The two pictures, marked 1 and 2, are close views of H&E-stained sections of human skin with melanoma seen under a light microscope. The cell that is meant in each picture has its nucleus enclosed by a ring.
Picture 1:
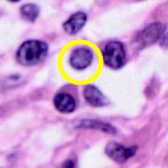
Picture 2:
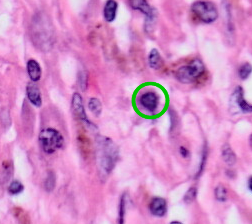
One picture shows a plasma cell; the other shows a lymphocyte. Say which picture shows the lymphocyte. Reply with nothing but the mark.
1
